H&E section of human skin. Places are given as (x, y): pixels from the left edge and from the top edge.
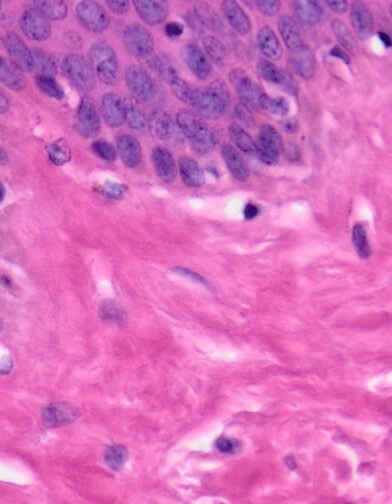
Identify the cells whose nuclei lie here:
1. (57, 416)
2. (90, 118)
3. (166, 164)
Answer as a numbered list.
1. fibroblast
2. basal keratinocyte
3. basal keratinocyte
